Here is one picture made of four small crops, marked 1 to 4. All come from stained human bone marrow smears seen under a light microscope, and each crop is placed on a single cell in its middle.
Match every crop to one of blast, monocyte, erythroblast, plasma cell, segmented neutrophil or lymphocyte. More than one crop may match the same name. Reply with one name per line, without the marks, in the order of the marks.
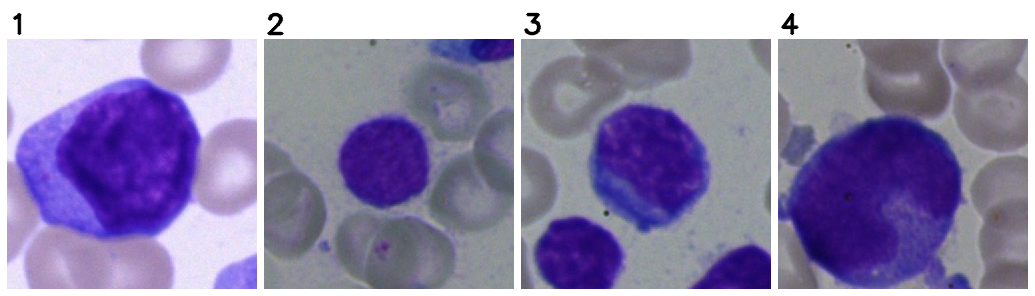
blast
lymphocyte
lymphocyte
monocyte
